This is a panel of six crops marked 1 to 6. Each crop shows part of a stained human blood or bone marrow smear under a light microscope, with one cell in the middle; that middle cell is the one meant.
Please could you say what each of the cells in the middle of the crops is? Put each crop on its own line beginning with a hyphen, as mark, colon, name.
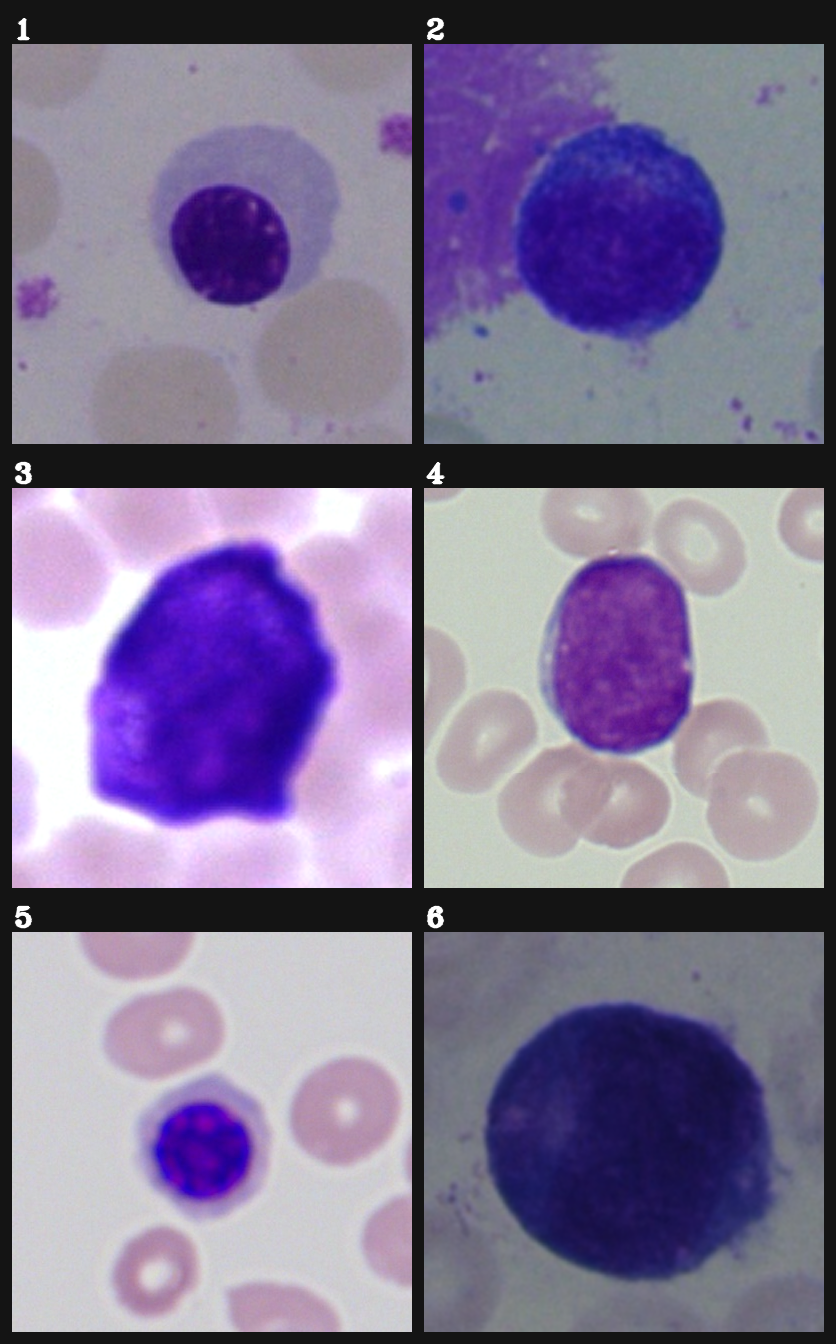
- 1: normoblast
- 2: blast
- 3: blast
- 4: blast
- 5: normoblast
- 6: blast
